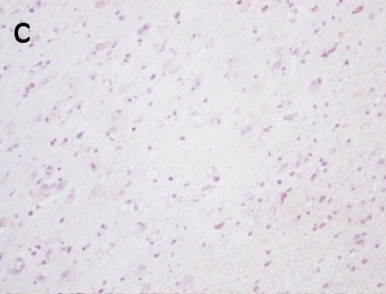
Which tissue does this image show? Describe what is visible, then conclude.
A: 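Pale fibrillary neuropil with scattered small nuclei. No tumor cell nests are present.
Non-tumoral brain.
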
